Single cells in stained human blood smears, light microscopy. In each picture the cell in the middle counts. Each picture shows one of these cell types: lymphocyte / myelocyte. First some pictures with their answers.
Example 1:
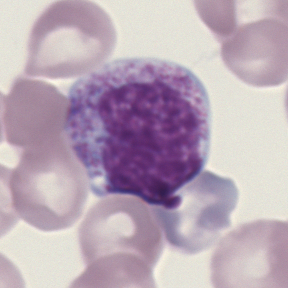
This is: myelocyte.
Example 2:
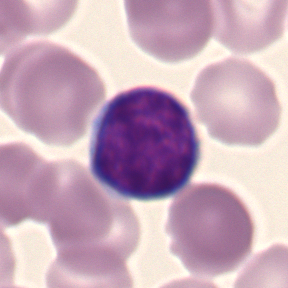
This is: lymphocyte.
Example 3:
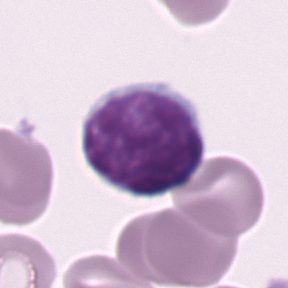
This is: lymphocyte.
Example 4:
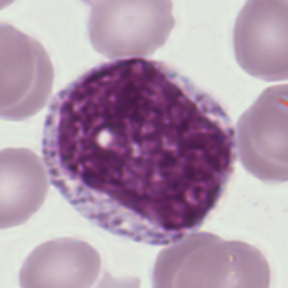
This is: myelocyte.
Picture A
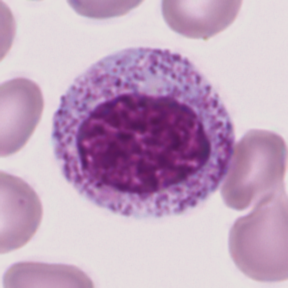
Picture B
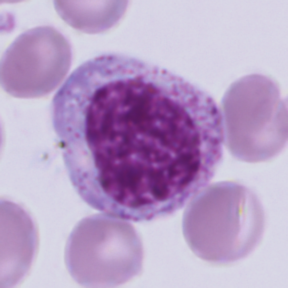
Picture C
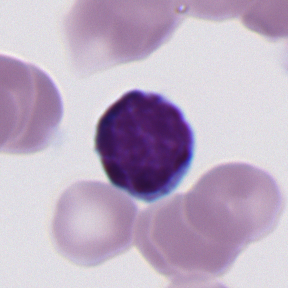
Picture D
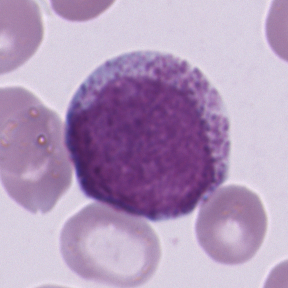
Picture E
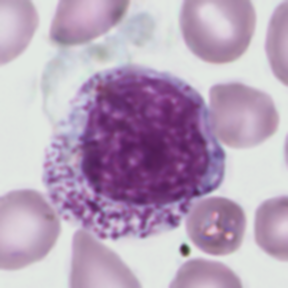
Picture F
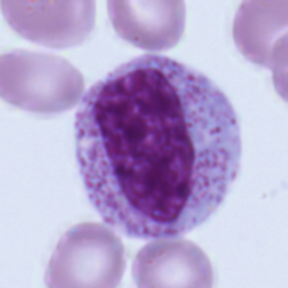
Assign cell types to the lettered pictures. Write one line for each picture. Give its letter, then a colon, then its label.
A: myelocyte.
B: myelocyte.
C: lymphocyte.
D: myelocyte.
E: myelocyte.
F: myelocyte.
